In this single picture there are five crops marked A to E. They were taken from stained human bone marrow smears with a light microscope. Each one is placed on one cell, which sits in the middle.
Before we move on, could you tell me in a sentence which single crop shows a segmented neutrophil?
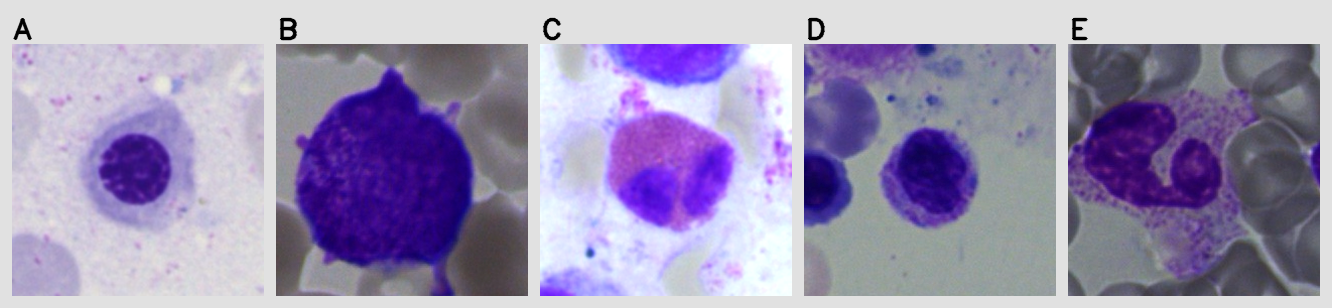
Crop E is the crop containing a segmented neutrophil.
